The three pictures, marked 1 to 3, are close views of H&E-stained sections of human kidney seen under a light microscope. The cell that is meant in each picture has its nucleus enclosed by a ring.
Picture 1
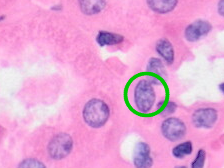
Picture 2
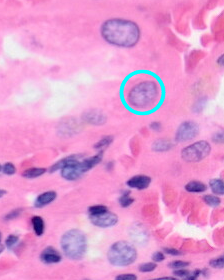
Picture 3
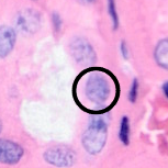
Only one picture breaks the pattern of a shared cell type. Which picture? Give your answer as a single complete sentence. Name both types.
Unlike the rest, which show collecting duct cells, picture 2 shows a proximal tubule cell.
